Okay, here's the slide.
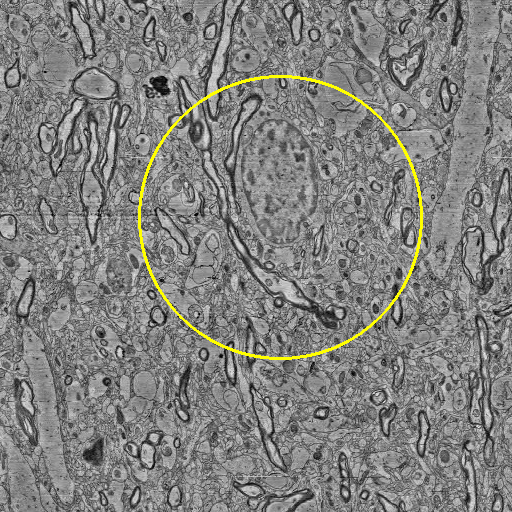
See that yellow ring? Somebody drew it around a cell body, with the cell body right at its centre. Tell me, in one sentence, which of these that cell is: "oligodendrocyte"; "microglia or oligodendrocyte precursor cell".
The cell in the middle of the ring is an oligodendrocyte.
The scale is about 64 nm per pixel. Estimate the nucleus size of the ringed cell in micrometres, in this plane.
Clearly longer than it is wide in this plane, the nucleus measures roughly 8 by 5 micrometres.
